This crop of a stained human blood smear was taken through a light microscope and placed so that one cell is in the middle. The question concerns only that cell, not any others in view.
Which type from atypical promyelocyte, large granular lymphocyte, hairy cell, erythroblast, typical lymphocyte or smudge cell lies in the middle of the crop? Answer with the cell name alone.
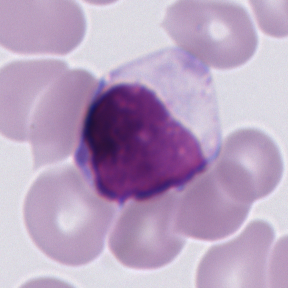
large granular lymphocyte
